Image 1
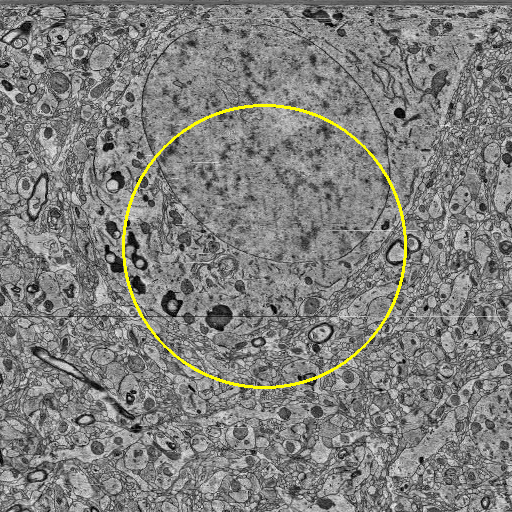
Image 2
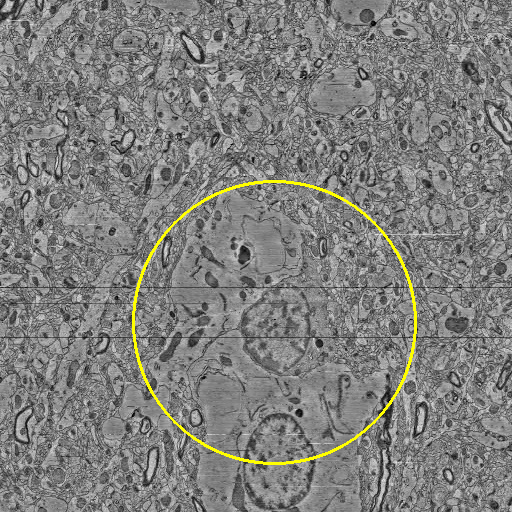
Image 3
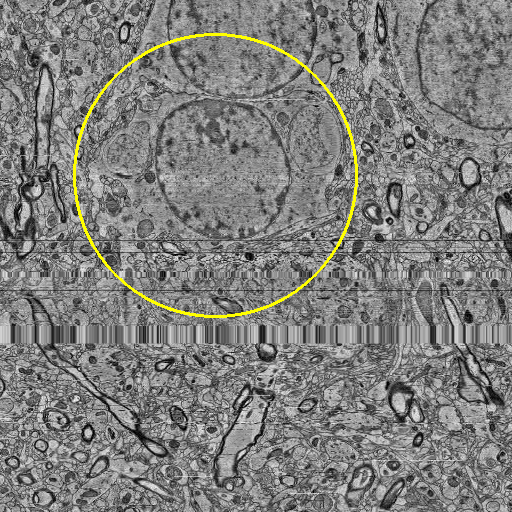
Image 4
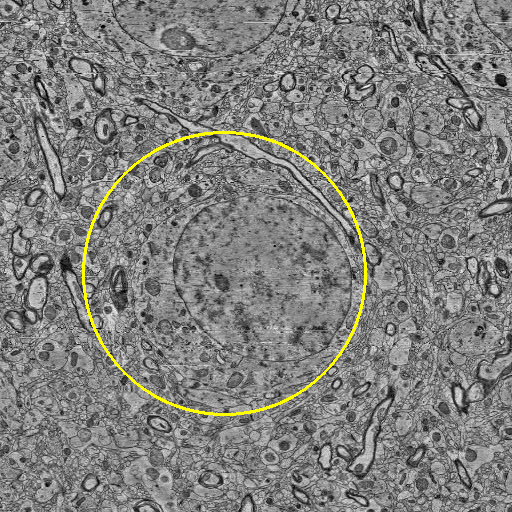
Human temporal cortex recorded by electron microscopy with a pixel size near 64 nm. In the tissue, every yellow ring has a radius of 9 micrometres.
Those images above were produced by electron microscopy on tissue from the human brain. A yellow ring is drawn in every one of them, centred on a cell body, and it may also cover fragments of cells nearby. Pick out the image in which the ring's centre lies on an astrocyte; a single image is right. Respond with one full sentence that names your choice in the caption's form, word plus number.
Image 3 is my choice: its ring is centred on the requested cell.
